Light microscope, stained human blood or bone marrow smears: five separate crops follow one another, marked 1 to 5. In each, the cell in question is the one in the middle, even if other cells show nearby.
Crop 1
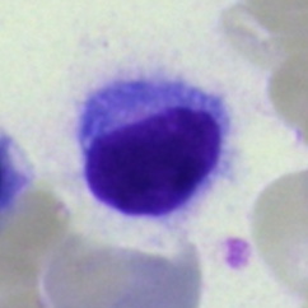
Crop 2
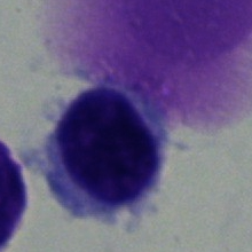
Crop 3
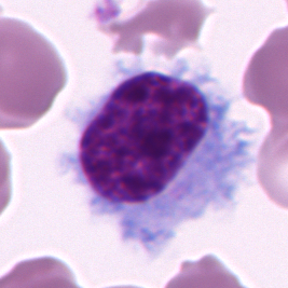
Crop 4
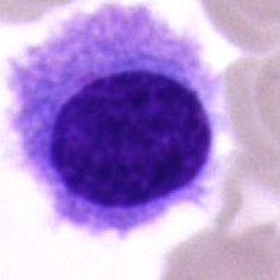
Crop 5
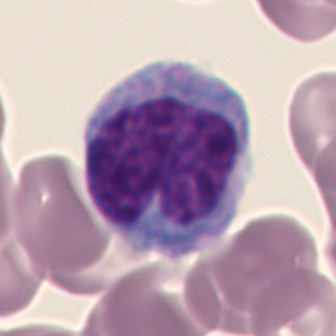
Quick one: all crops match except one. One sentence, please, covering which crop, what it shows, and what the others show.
In every crop except crop 5, which shows a monocyte, hairy cells are shown.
